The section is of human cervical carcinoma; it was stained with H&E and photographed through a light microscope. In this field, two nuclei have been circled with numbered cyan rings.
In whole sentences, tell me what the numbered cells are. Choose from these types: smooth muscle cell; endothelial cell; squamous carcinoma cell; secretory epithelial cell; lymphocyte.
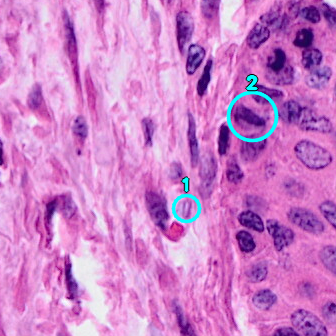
Cell 1 is an endothelial cell and cell 2 is a squamous carcinoma cell.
